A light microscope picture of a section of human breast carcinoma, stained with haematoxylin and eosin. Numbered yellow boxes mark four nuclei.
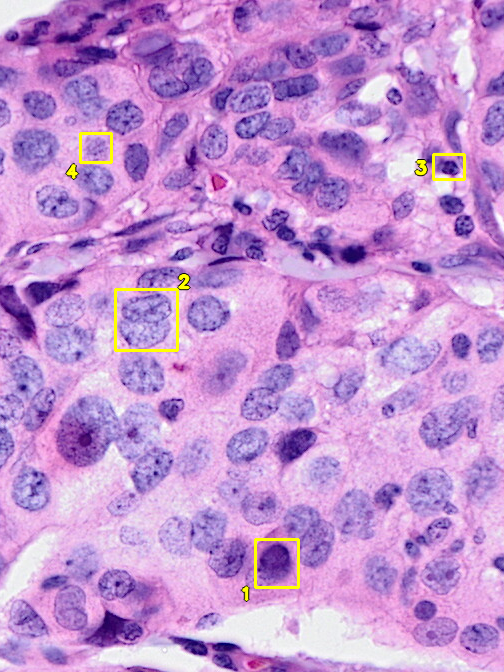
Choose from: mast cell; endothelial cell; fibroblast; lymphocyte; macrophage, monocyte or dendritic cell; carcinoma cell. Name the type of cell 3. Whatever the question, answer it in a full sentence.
Cell 3 of the marked set is a lymphocyte.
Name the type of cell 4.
Identified as a carcinoma cell is the cell bearing the number 4.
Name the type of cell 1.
Looking at the numbered marks, cell 1 is a carcinoma cell.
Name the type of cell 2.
Identified as a carcinoma cell is the cell bearing the number 2.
